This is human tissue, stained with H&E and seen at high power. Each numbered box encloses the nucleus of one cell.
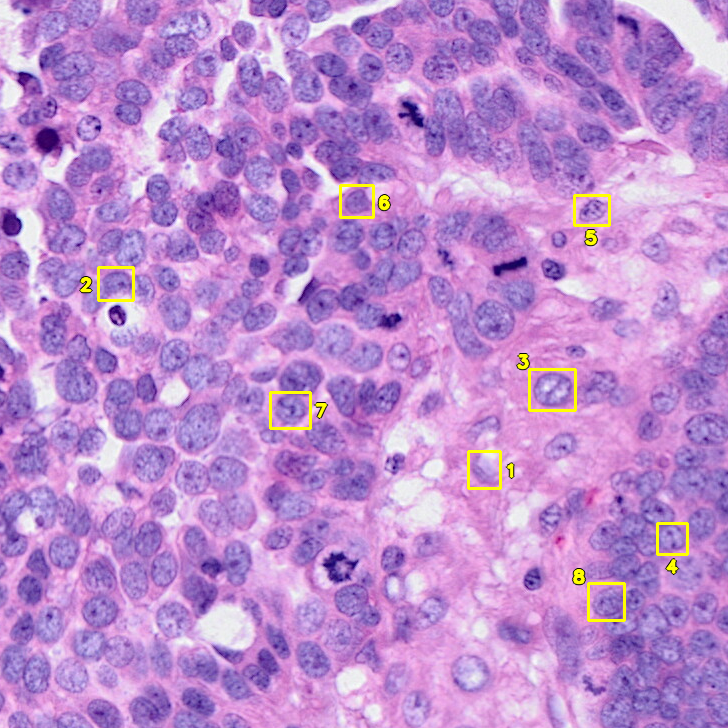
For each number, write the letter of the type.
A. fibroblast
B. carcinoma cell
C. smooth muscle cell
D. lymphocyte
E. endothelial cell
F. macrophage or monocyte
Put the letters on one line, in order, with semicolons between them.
A; B; A; B; F; B; B; B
